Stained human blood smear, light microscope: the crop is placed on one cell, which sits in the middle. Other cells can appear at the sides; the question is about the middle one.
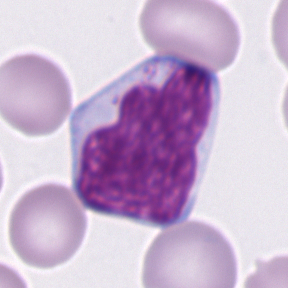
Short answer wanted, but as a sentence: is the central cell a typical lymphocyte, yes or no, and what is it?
No, the middle of the crop holds a large granular lymphocyte, not a typical lymphocyte.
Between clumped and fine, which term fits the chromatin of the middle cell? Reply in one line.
The nucleus shows chromatin that is coarsely clumped.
